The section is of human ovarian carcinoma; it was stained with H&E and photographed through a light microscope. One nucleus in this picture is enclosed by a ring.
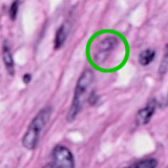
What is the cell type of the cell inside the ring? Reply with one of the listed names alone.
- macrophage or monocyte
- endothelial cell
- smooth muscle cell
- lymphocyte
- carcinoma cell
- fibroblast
fibroblast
